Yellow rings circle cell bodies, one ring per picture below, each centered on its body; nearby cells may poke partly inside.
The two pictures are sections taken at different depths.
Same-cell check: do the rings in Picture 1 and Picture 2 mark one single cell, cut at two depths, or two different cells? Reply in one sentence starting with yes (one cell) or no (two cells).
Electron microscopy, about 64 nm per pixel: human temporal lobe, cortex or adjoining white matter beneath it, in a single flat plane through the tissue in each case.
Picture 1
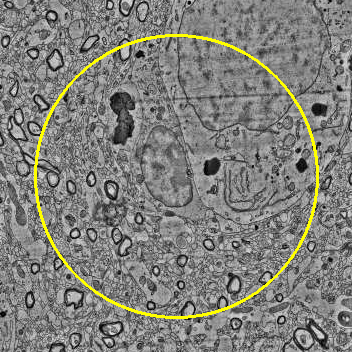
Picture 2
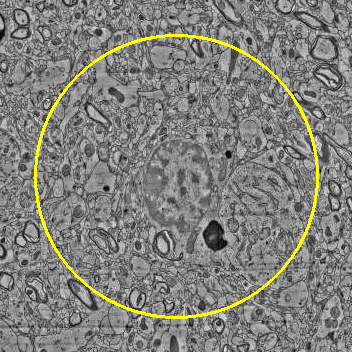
No, there are two different cells marked by the rings.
